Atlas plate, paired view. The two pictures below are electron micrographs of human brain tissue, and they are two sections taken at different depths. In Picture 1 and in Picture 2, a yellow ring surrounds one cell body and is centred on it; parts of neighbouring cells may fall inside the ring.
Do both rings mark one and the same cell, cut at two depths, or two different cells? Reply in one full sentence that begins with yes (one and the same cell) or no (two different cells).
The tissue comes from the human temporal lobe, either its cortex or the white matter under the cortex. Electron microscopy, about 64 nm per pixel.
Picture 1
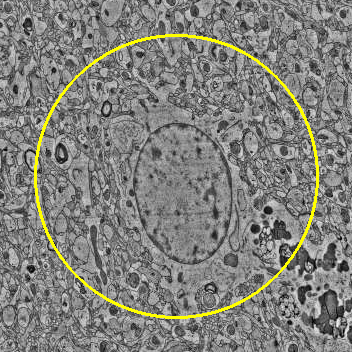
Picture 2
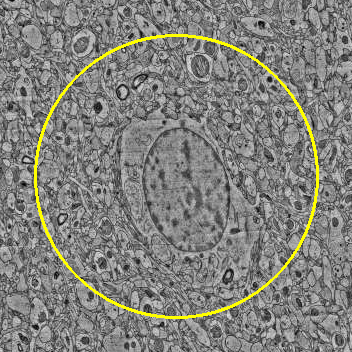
Yes, the two yellow circles hold the same cell.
